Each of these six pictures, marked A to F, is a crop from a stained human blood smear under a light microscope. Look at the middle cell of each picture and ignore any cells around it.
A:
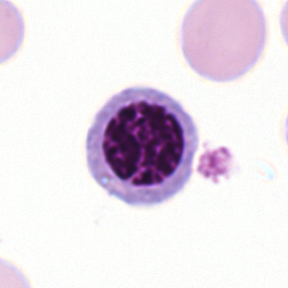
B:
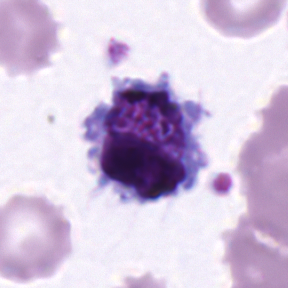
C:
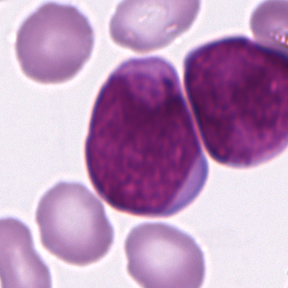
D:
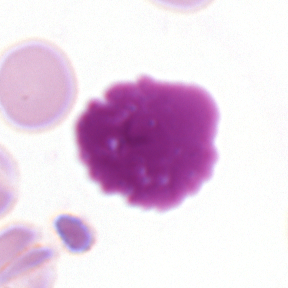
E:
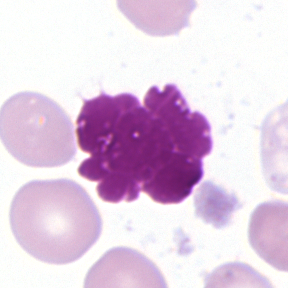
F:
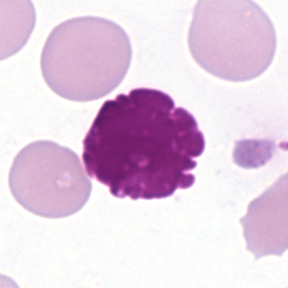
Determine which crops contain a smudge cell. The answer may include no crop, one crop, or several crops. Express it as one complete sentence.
Crops D, E and F show smudge cells as their centred cells.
